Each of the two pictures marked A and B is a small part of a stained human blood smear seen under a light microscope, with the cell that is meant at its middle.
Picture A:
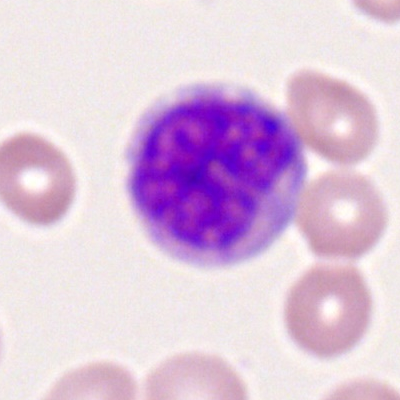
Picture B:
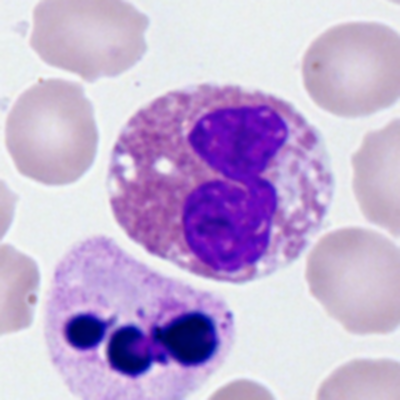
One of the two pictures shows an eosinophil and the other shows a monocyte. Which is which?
A: monocyte
B: eosinophil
